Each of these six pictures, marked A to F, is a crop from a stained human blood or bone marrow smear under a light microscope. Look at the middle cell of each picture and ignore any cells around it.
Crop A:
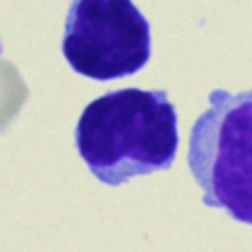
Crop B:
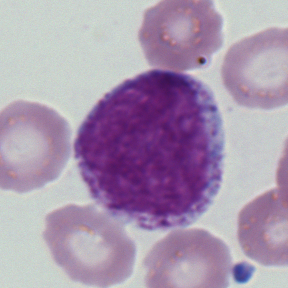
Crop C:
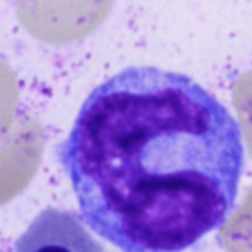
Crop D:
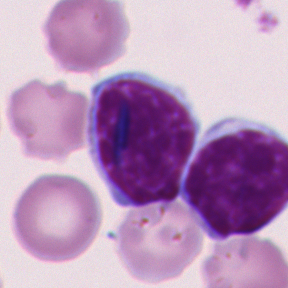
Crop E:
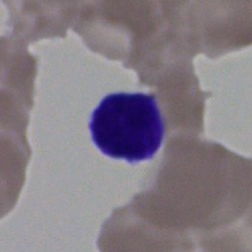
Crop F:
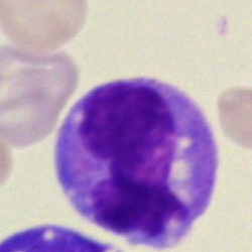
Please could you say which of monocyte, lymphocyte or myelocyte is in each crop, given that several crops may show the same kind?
A: lymphocyte
B: myelocyte
C: monocyte
D: lymphocyte
E: lymphocyte
F: monocyte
